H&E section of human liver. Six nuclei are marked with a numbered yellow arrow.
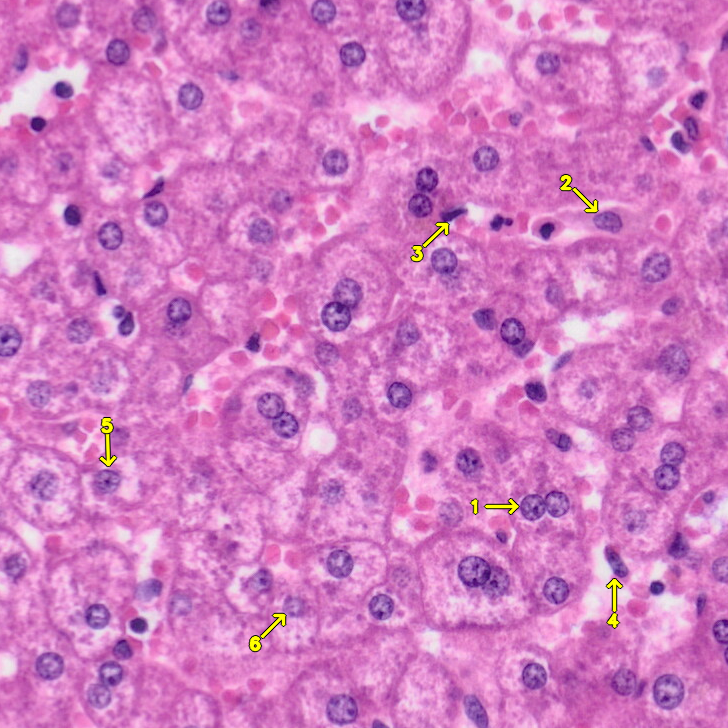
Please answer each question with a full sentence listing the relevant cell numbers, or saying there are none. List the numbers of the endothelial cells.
Only one of the numbered nuclei, number 3, belongs to an endothelial cell.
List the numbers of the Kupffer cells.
The cells marked with the numbers 2 and 4 are Kupffer cells.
